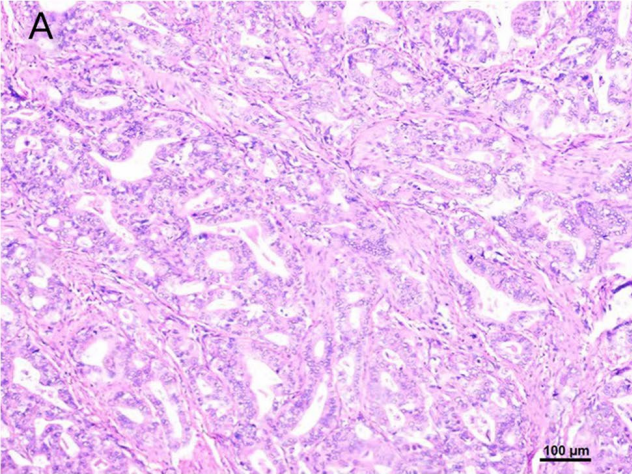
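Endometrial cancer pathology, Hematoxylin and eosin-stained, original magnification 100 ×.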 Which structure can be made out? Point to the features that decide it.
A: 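Many gland-like spaces of varying size and shape are lined by crowded epithelial cells. Gland outlines are angular and irregular rather than round.
Infiltrating, irregular adenoids.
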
